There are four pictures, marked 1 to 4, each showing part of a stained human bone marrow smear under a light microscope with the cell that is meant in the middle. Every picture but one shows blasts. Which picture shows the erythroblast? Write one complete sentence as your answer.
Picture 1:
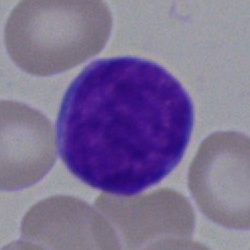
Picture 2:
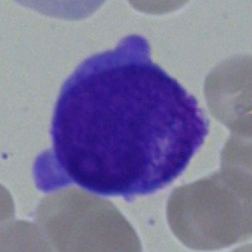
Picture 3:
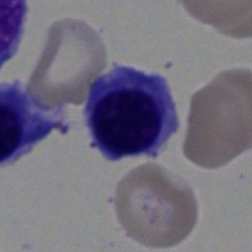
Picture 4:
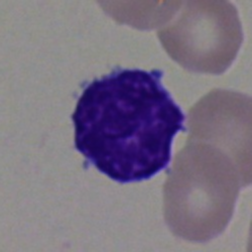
Picture 3 is the one that shows the erythroblast.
